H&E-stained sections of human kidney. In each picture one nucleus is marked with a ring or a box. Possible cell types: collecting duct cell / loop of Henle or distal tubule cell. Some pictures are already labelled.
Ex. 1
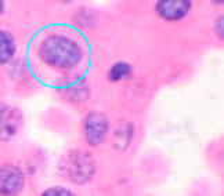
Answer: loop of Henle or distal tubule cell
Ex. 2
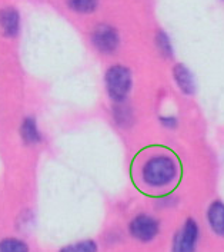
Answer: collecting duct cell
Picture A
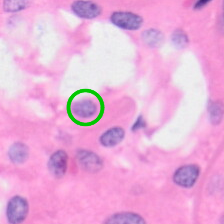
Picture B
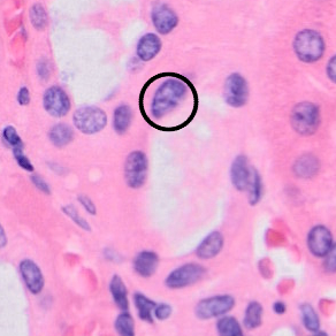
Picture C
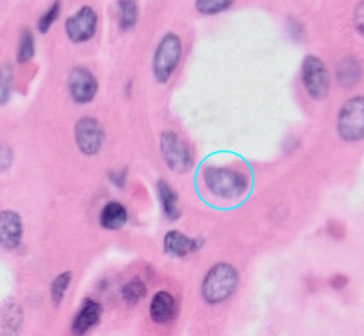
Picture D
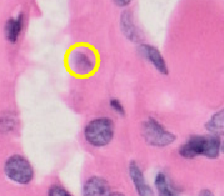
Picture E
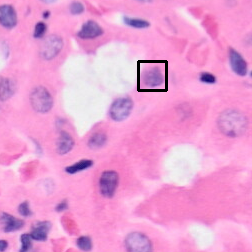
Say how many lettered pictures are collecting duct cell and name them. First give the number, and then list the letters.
1, namely B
